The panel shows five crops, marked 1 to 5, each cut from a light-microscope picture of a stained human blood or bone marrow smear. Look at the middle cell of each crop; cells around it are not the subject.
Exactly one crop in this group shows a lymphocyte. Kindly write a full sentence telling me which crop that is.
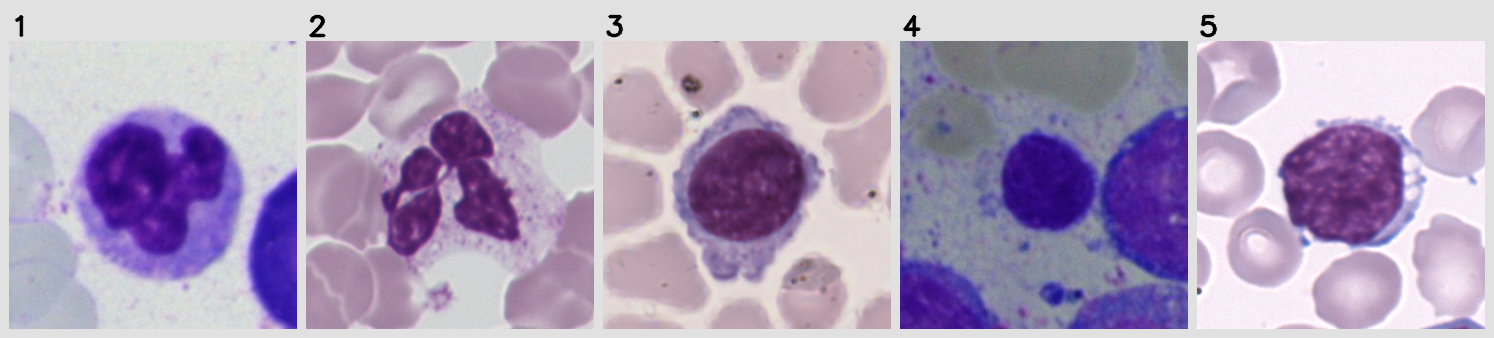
Of the cells presented, the one in crop 4 is a lymphocyte.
